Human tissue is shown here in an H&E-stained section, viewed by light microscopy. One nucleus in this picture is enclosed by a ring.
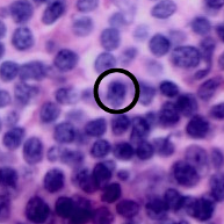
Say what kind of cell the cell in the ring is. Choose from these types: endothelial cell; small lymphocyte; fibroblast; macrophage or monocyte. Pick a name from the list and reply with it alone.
small lymphocyte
